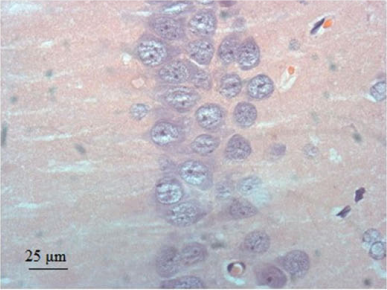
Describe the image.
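This is the pyramidal cell layer of the hippocampus, seen as a compact vertical band of neuron cell bodies. The cells are closely packed, a few cells deep, with rounded to slightly oval bodies and thin rims of lilac cytoplasm. On either side lies pale pink, finely fibrillar neuropil with only a few small, dark, elongated nuclei of other cells scattered through it.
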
